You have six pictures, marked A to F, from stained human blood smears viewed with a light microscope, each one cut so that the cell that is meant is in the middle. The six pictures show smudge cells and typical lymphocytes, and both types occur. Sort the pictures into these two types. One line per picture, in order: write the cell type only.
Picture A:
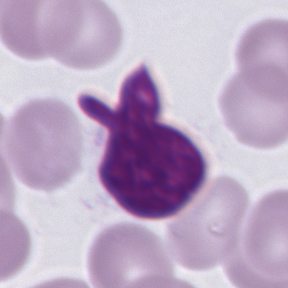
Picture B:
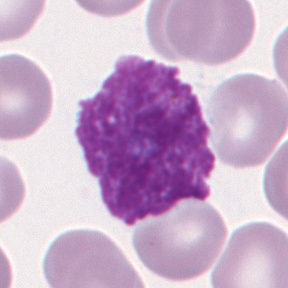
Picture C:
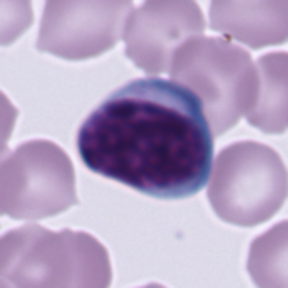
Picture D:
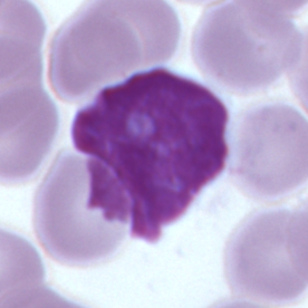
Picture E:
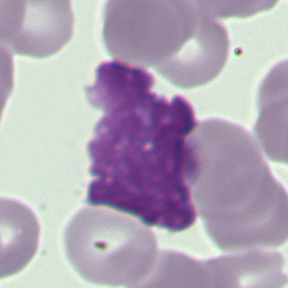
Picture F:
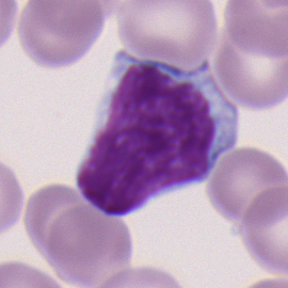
smudge cell
smudge cell
typical lymphocyte
smudge cell
smudge cell
typical lymphocyte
